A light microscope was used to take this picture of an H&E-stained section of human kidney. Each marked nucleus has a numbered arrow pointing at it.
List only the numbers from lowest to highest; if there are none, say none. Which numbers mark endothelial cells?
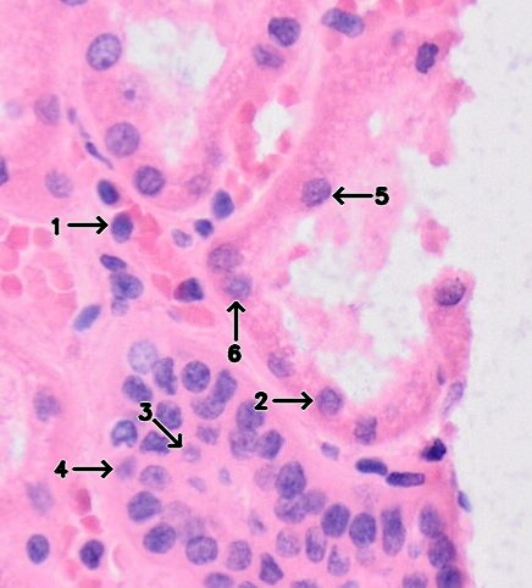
1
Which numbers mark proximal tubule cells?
2, 5, 6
